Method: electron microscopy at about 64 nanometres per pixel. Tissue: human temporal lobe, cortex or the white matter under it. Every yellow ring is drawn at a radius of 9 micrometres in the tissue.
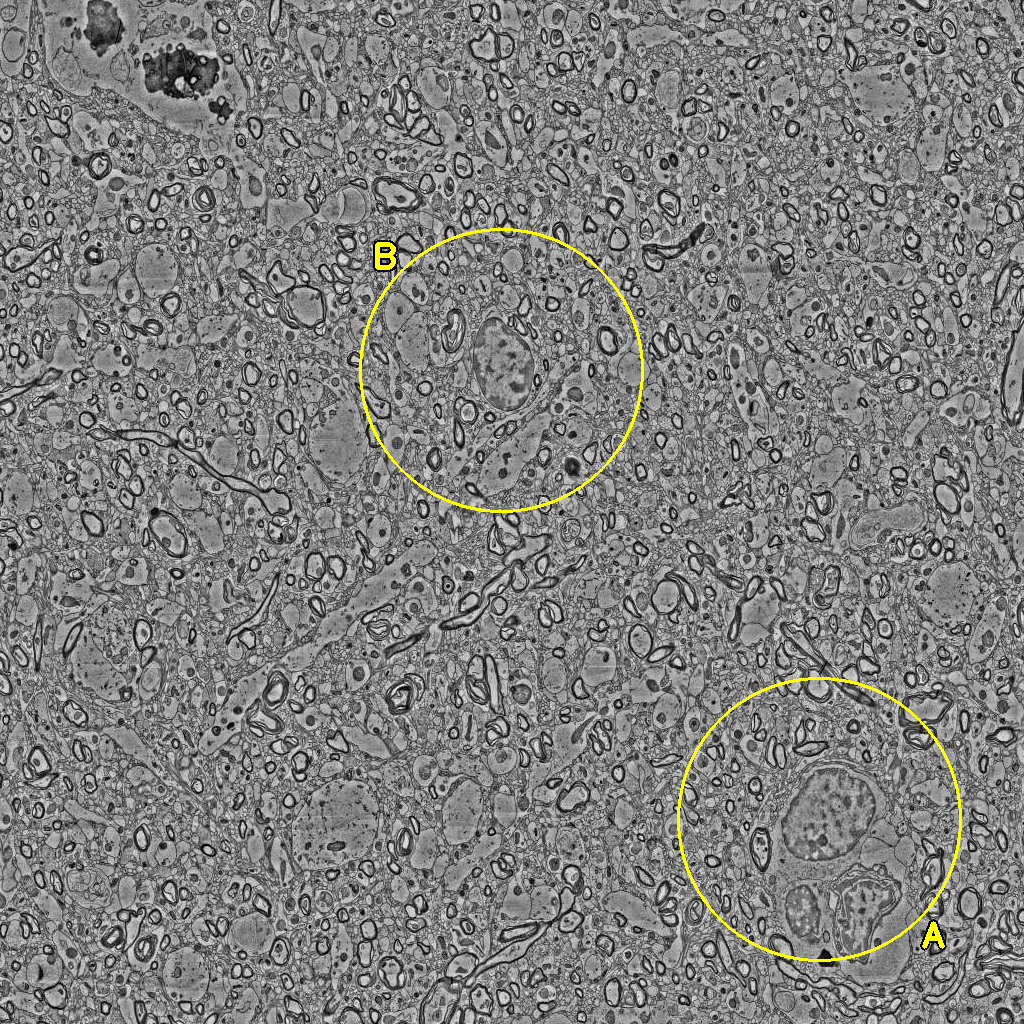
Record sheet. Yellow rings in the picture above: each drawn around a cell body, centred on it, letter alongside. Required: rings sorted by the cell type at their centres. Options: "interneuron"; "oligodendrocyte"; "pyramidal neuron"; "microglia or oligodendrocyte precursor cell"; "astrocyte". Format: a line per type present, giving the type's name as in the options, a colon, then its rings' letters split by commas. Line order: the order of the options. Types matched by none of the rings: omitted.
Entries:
oligodendrocyte: A
microglia or oligodendrocyte precursor cell: B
